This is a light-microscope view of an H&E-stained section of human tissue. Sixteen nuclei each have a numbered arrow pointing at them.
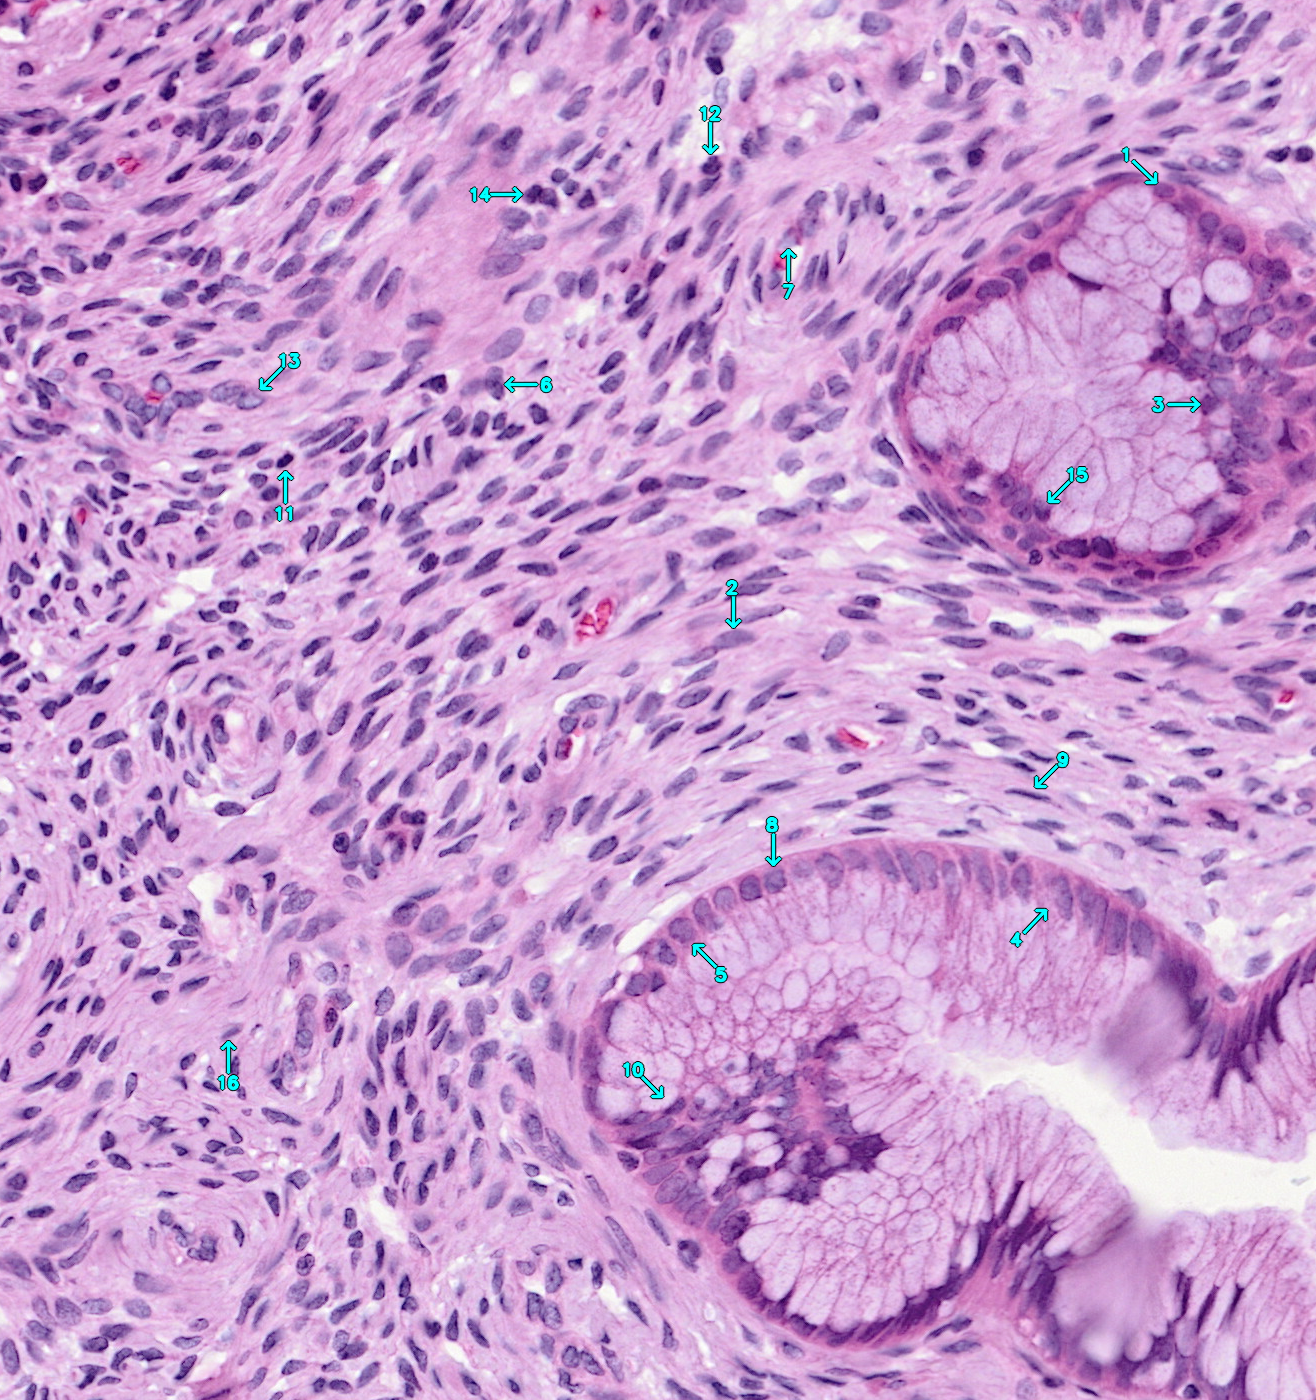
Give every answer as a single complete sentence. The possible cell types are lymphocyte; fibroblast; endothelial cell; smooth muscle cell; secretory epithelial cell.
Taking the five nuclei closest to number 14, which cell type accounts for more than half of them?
The majority of the five nuclei closest to number 14 belong to fibroblasts.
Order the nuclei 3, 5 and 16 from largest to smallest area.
The nuclei rank 5, 3, 16, from largest to smallest.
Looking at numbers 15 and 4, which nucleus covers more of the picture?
It is nucleus 4, which covers about 2.5 times the area of nucleus 15.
